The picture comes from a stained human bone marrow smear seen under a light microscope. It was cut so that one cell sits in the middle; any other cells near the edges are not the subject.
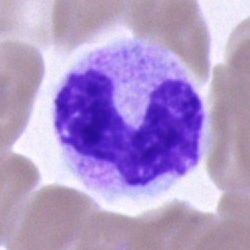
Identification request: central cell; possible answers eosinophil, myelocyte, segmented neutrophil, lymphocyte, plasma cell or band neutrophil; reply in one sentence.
The cell the crop is centered on is a band neutrophil.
